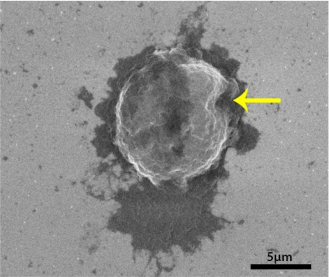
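The cell is still roughly round, but its surface is rough and irregular, and a dark, ragged halo of material spreads out over the substrate around it. This is unlike an intact cell, whose smooth outline stands cleanly apart from the substrate.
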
